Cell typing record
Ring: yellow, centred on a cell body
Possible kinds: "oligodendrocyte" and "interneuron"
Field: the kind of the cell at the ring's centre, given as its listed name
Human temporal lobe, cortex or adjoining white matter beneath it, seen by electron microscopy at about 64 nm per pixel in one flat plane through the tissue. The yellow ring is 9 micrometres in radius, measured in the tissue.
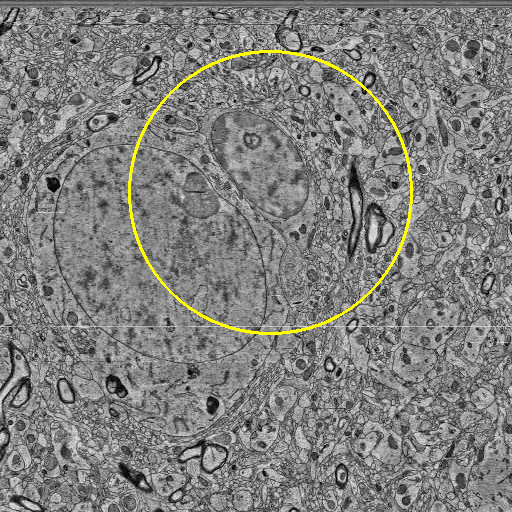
oligodendrocyte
